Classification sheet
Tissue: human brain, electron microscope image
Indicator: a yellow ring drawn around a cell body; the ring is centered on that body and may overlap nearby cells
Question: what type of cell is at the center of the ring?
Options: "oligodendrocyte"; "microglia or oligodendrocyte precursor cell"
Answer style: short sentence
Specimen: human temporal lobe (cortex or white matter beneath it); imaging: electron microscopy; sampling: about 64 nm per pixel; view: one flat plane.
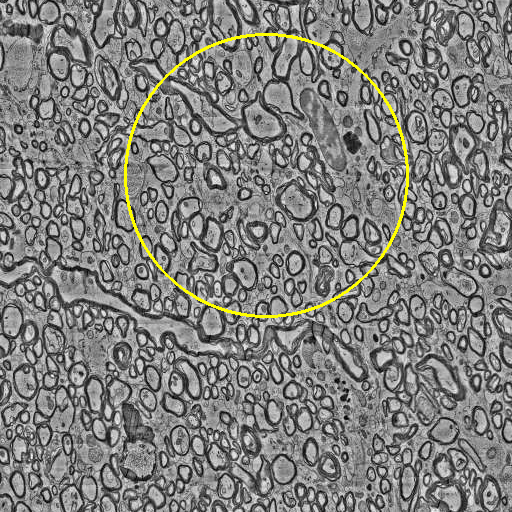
At the ring's center is a microglial cell or oligodendrocyte precursor cell.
